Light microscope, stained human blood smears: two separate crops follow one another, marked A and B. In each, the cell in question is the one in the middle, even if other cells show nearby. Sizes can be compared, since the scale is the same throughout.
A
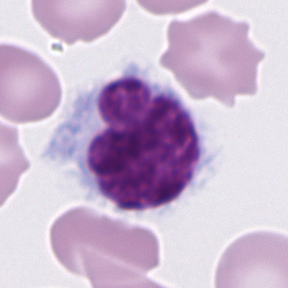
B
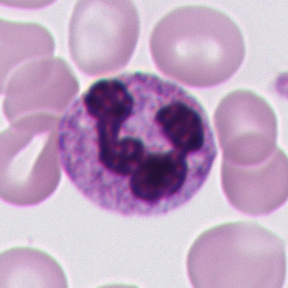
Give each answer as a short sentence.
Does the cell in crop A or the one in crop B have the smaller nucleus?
Crop B shows the smaller nucleus, since that in crop A covers about 1.5 times as much area.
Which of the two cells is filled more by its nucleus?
Of the two, the nucleus in crop A makes up the greater part of its cell.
